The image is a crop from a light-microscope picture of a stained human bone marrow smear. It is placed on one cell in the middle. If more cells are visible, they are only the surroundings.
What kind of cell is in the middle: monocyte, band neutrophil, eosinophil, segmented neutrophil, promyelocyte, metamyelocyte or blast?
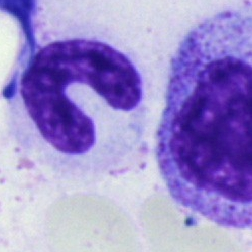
band neutrophil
